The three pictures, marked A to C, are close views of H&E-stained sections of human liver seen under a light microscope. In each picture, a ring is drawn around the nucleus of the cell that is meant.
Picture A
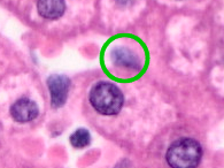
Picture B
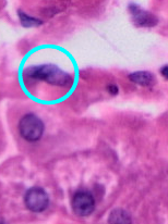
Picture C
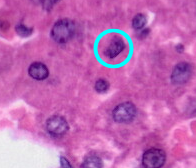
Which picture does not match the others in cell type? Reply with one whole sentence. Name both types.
The different one is picture B; it shows a “fibroblast or stellate cell”, whereas all the others show endothelial cells.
